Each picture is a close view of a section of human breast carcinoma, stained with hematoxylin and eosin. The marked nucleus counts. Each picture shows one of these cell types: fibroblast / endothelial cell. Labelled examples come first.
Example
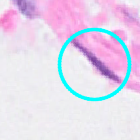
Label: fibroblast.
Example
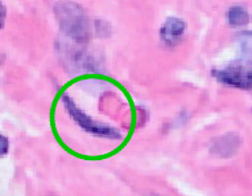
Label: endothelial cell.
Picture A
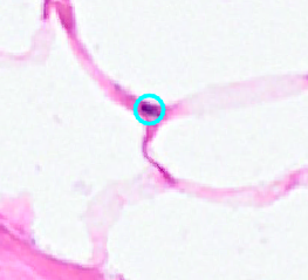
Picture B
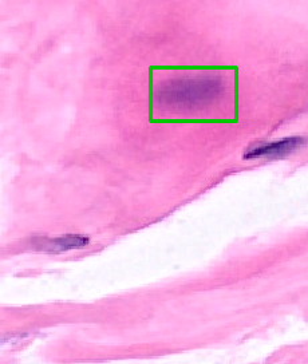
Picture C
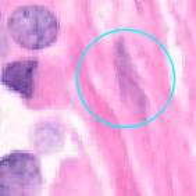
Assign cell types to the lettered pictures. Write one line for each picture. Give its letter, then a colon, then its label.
A: endothelial cell.
B: fibroblast.
C: fibroblast.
